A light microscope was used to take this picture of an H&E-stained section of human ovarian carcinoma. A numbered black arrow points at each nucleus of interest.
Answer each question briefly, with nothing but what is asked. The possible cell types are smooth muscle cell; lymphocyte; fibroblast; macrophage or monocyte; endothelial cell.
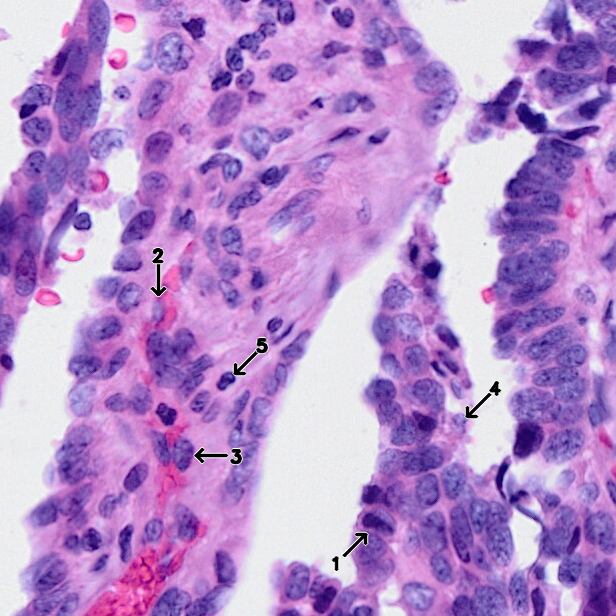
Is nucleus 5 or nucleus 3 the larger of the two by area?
3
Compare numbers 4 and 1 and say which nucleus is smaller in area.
4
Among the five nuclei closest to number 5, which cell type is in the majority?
endothelial cell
